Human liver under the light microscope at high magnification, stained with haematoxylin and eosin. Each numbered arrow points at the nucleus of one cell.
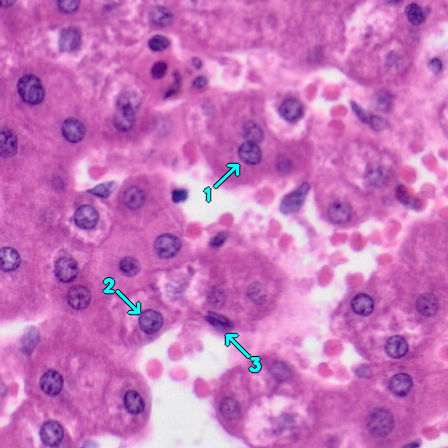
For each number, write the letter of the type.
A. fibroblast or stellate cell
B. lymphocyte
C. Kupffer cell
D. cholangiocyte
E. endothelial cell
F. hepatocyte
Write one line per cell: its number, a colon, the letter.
1: F
2: F
3: A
